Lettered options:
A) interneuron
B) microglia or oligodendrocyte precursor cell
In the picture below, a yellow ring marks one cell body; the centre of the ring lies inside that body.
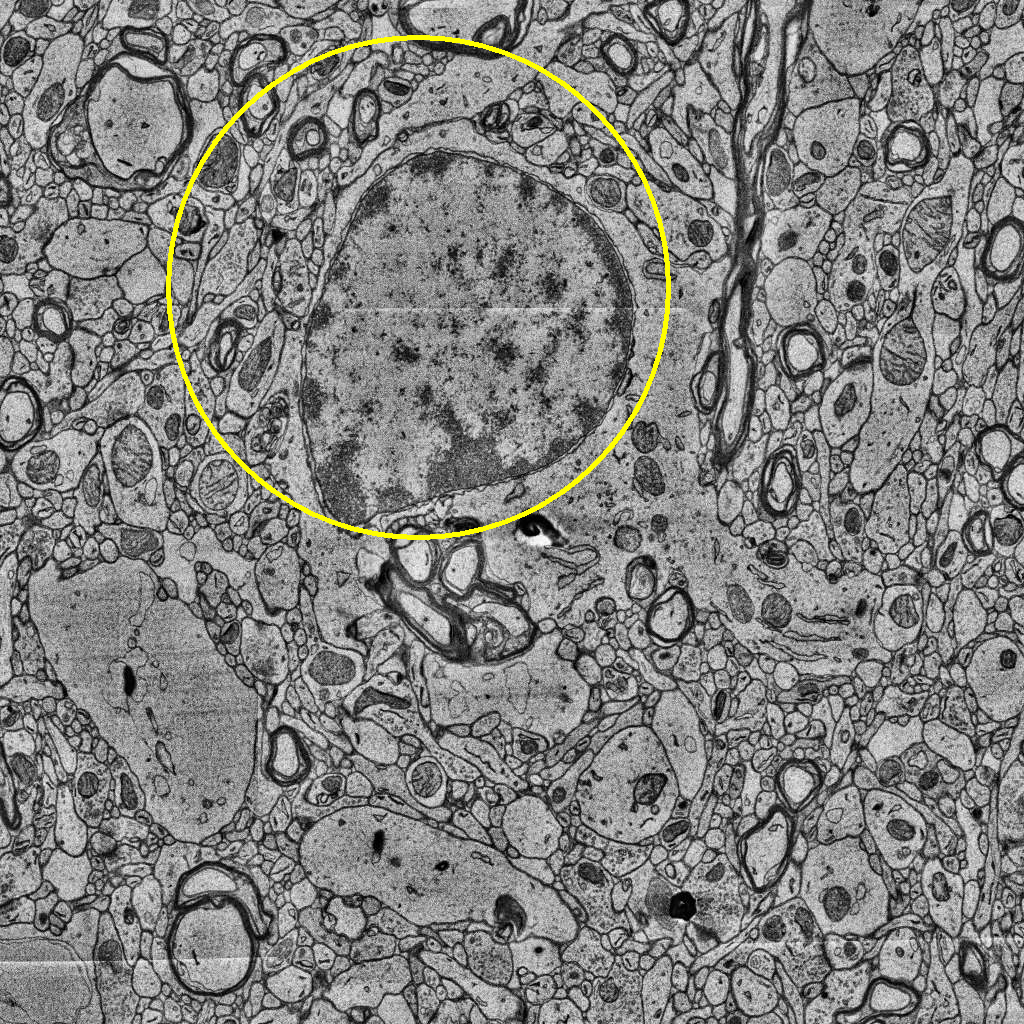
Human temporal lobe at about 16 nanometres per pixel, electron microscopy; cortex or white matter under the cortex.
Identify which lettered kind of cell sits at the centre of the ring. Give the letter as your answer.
B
